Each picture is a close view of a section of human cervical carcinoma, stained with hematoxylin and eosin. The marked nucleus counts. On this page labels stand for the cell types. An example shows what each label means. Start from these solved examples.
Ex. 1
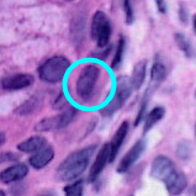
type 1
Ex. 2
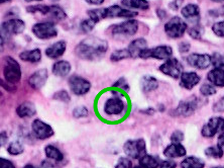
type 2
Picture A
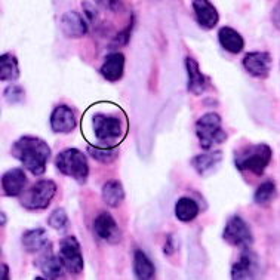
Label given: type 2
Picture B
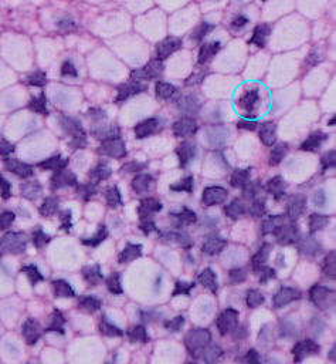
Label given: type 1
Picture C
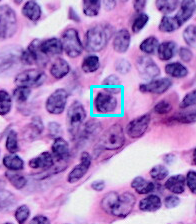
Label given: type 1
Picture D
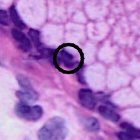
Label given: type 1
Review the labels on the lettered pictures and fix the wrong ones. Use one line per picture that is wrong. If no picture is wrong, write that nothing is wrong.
C: change type 1 to type 2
